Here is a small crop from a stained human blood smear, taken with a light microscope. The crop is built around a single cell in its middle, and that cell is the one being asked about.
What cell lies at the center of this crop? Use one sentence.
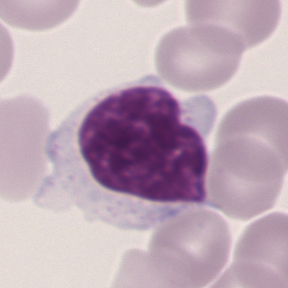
The cell positioned in the middle of the field is a large granular lymphocyte.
